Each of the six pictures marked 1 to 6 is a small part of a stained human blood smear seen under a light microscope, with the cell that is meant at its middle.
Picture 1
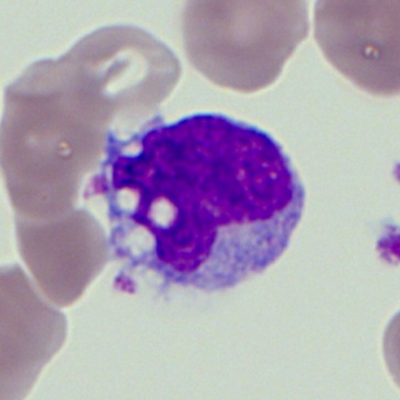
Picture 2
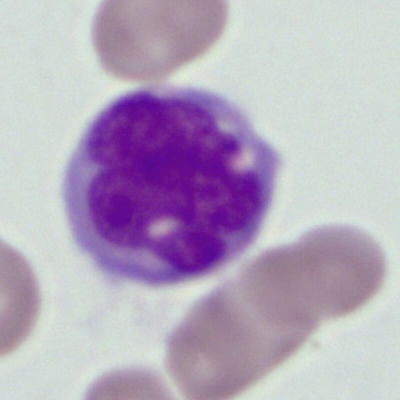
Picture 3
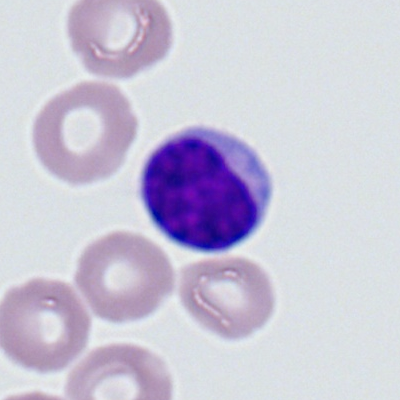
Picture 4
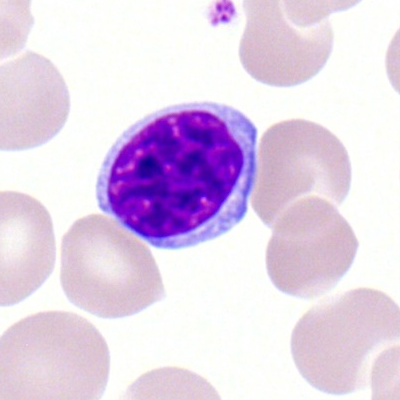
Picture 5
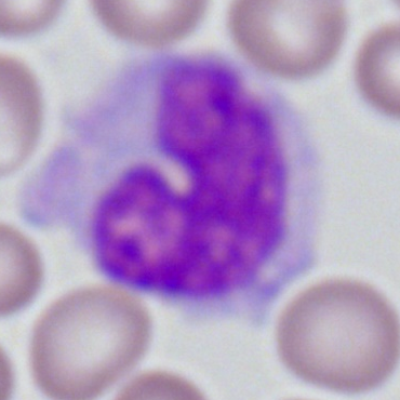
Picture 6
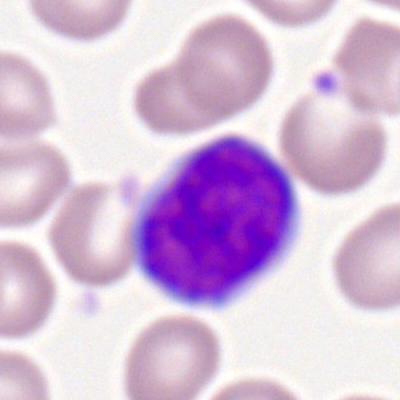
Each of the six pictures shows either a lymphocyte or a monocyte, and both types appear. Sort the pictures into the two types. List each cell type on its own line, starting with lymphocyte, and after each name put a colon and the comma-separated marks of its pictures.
lymphocyte: 3, 4, 6
monocyte: 1, 2, 5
